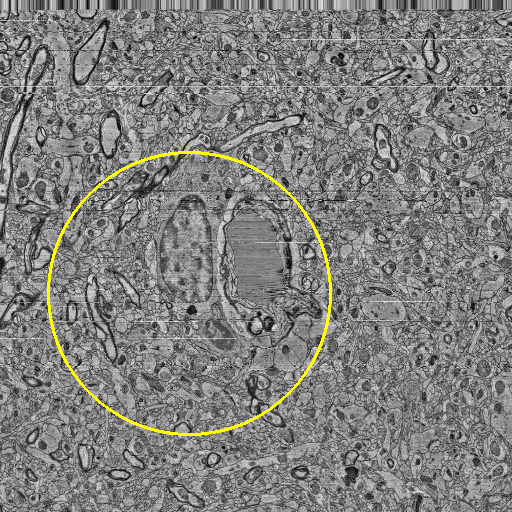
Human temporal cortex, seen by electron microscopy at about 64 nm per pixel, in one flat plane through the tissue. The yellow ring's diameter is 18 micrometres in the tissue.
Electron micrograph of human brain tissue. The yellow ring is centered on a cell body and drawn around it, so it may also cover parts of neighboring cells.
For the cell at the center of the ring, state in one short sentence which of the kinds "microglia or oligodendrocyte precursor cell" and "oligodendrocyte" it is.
This ring is centered on an oligodendrocyte.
